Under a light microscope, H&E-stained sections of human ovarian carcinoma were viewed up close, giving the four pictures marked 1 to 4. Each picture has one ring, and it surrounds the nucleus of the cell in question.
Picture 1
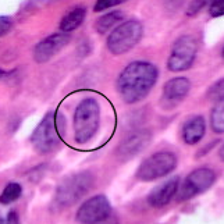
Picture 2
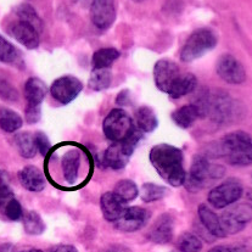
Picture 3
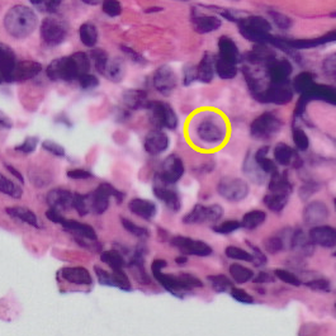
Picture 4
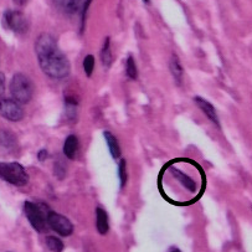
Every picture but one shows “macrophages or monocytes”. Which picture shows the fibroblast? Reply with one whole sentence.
The picture with the fibroblast is 4.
